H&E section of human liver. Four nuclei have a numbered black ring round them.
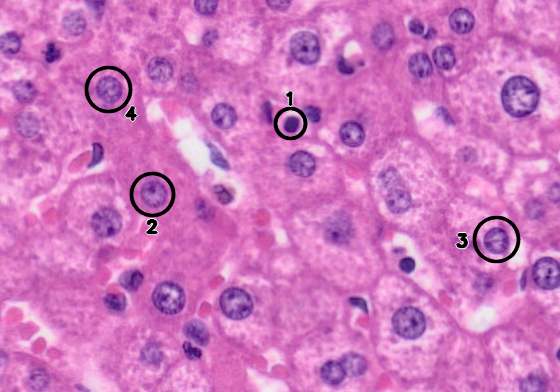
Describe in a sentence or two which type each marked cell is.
Cell 1 is a lymphocyte. Cells 2, 3 and 4 are hepatocytes.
